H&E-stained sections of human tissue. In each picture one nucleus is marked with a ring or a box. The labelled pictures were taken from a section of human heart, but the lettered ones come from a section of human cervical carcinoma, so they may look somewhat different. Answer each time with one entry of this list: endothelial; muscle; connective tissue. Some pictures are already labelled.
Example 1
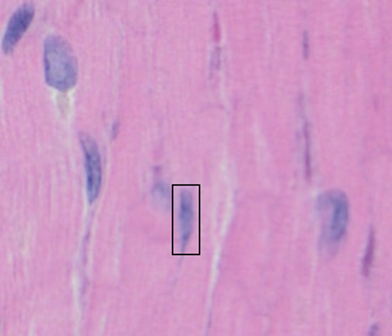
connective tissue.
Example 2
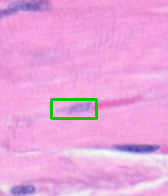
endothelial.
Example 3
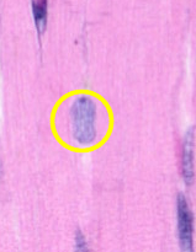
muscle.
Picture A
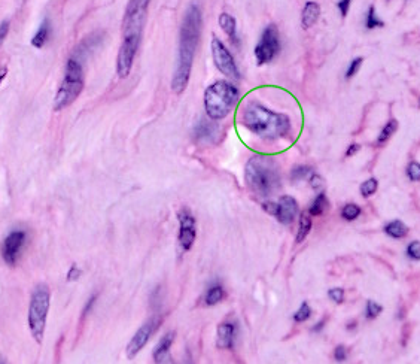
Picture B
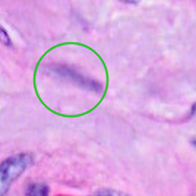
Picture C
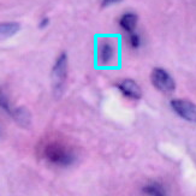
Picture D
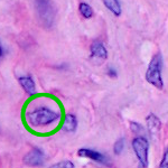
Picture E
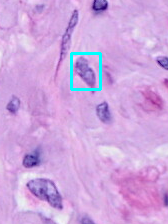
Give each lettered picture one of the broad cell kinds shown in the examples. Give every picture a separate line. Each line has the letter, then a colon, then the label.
A: endothelial.
B: connective tissue.
C: connective tissue.
D: muscle.
E: connective tissue.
